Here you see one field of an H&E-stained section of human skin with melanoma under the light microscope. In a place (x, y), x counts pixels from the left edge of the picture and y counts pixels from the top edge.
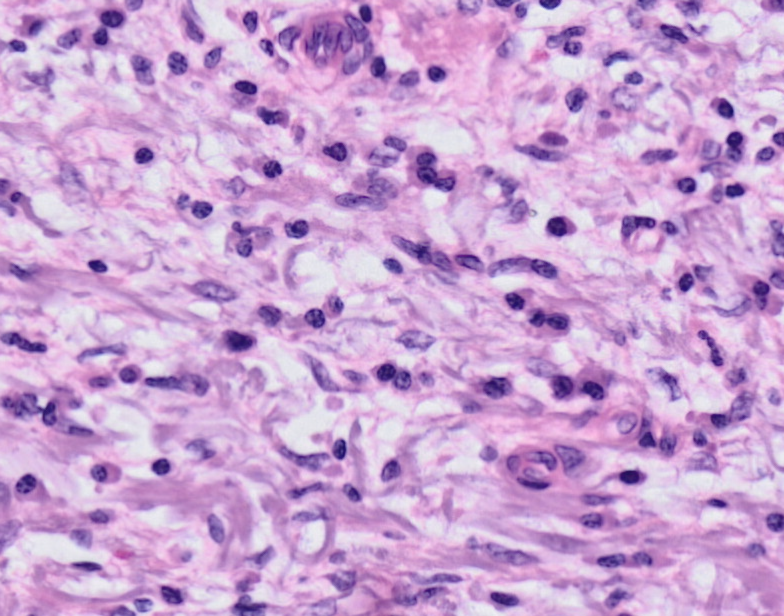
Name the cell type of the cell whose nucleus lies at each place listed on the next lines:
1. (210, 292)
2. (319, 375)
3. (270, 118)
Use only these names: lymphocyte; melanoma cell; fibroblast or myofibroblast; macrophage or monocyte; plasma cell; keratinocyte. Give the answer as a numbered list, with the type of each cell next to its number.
1. fibroblast or myofibroblast
2. fibroblast or myofibroblast
3. plasma cell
